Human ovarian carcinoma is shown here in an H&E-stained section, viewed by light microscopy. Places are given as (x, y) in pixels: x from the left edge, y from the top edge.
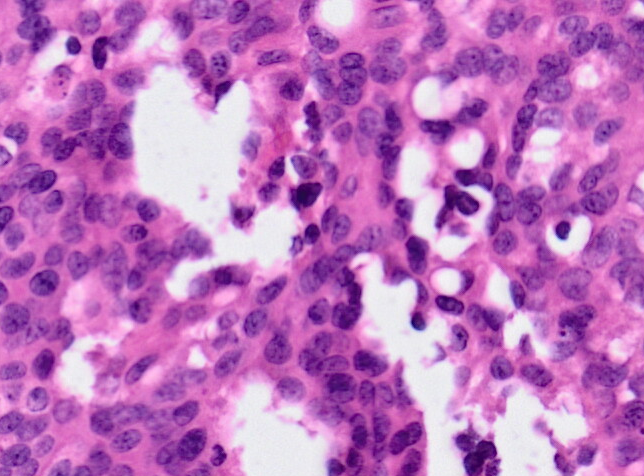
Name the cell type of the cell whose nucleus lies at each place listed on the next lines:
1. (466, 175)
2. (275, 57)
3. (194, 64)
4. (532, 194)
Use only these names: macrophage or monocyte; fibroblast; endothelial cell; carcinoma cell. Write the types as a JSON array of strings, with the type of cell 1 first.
["carcinoma cell", "endothelial cell", "carcinoma cell", "carcinoma cell"]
